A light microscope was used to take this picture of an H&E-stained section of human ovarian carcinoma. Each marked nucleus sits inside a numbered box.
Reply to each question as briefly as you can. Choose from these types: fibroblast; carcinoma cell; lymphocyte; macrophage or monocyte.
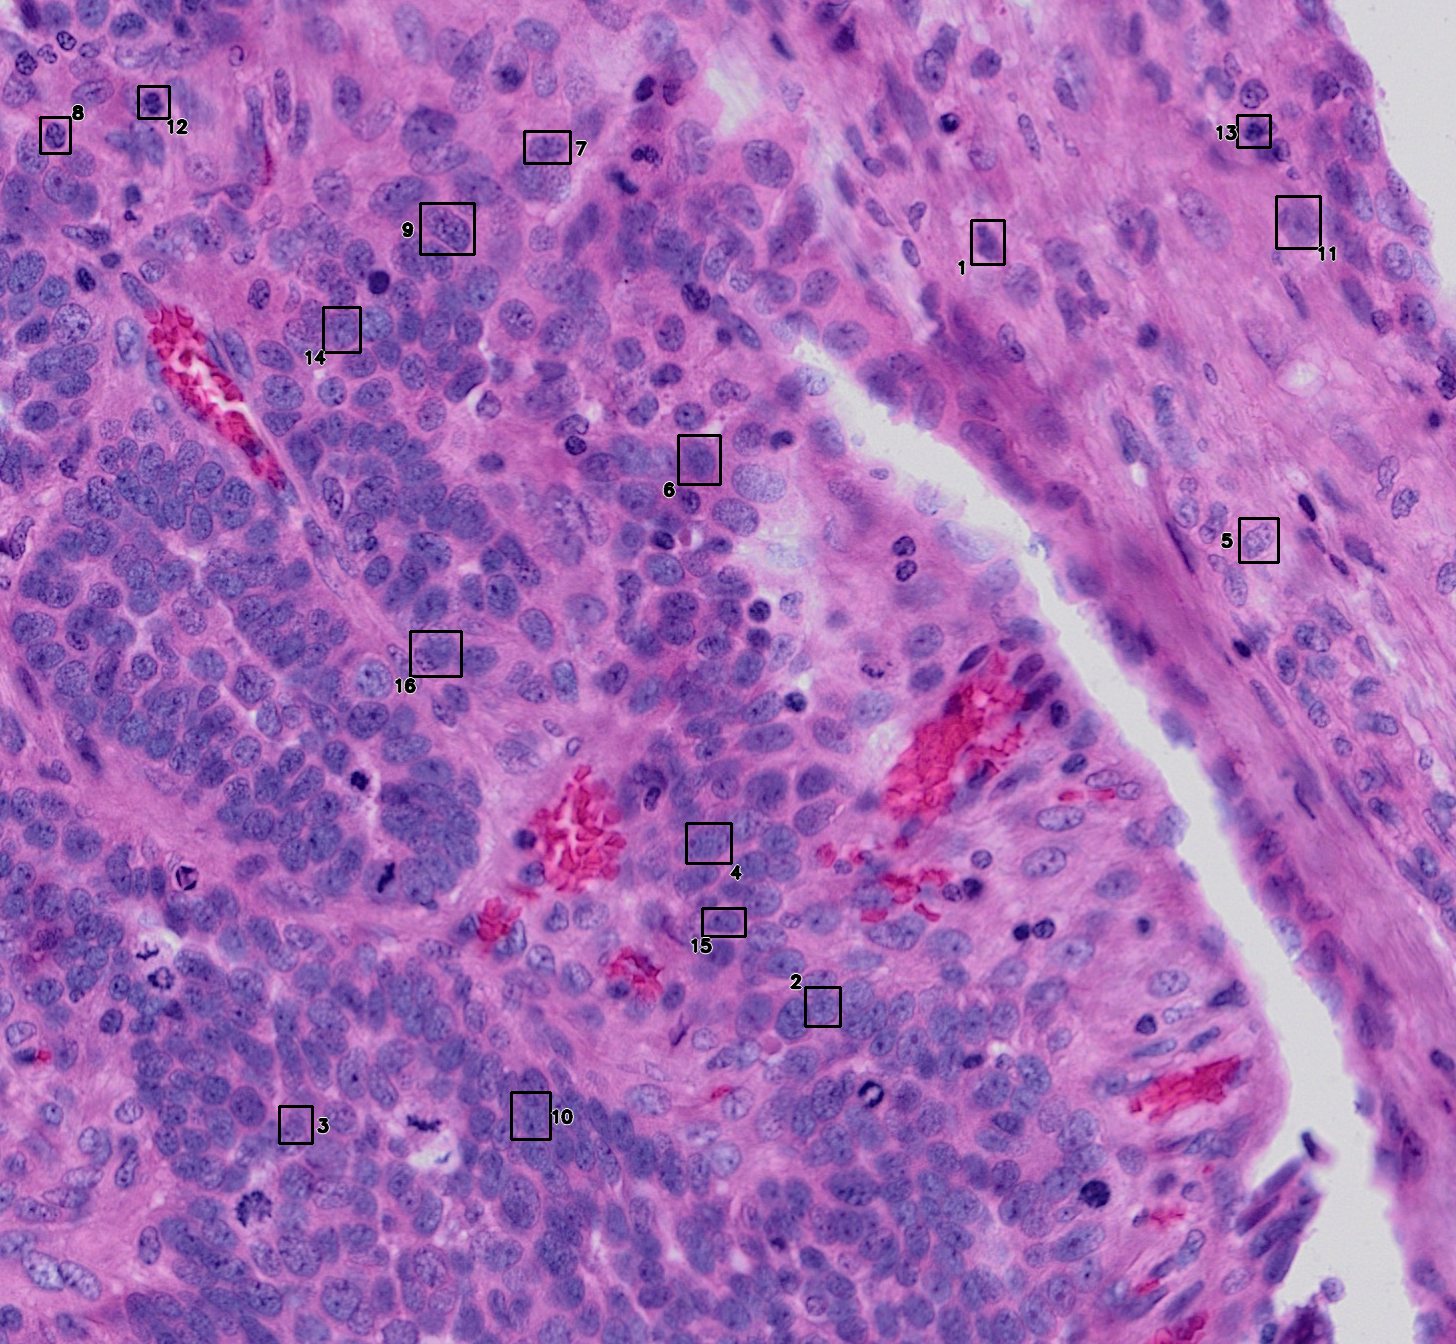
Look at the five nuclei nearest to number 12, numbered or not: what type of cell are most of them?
fibroblast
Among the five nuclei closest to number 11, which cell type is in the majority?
carcinoma cell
